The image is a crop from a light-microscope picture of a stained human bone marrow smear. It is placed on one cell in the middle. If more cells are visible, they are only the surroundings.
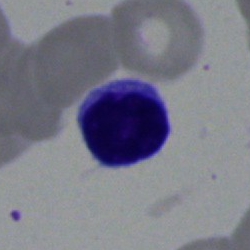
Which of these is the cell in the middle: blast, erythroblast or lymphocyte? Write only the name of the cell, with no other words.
lymphocyte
